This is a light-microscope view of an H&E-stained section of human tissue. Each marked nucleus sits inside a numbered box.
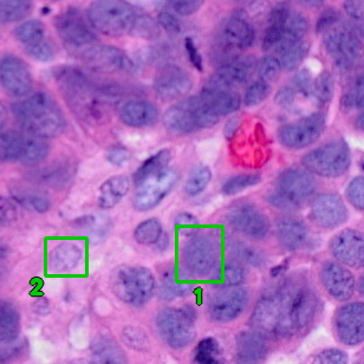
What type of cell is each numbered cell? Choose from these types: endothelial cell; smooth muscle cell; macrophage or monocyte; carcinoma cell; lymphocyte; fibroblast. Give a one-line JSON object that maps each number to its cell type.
{"1": "carcinoma cell", "2": "fibroblast"}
